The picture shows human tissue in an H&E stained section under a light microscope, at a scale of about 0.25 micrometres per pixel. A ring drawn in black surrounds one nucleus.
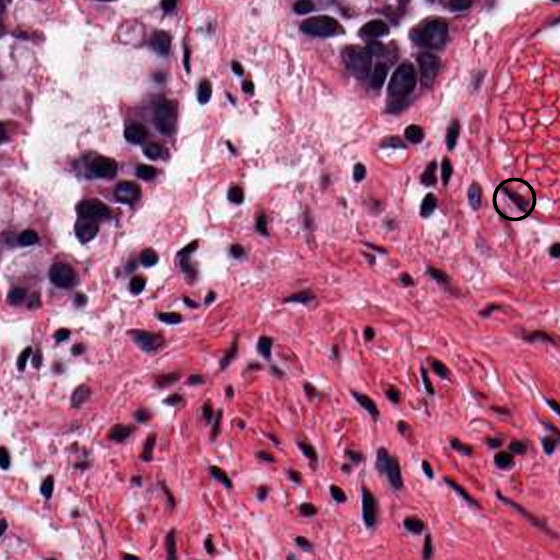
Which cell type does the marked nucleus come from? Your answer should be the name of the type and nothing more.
endothelial cell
